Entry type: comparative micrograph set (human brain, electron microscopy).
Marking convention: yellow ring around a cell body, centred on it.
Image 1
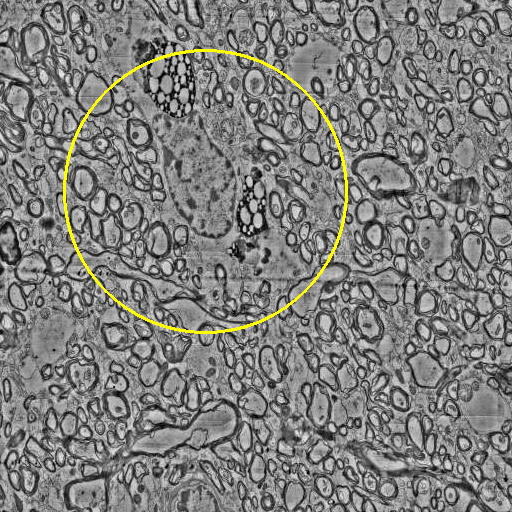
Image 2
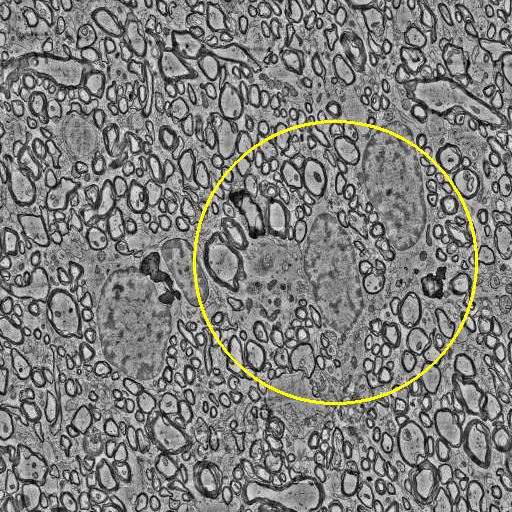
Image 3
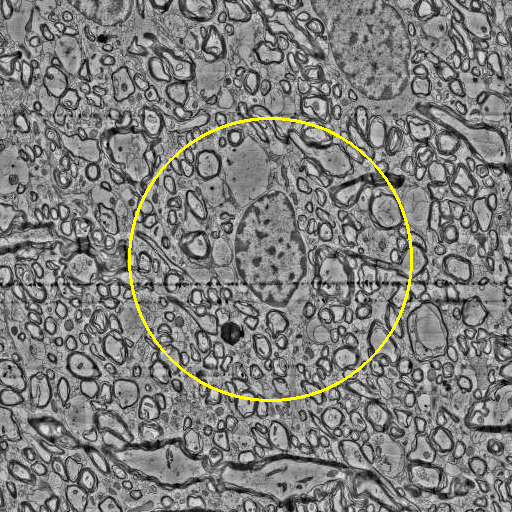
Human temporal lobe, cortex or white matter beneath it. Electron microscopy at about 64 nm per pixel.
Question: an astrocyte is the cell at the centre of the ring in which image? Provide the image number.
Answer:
1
